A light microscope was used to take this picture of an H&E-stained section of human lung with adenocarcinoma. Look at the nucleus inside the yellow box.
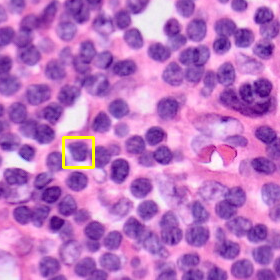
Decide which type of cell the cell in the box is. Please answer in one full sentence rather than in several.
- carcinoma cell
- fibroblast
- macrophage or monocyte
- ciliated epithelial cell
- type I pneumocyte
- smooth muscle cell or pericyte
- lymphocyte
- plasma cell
At the level of cell identity, the cell in the box is a lymphocyte.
